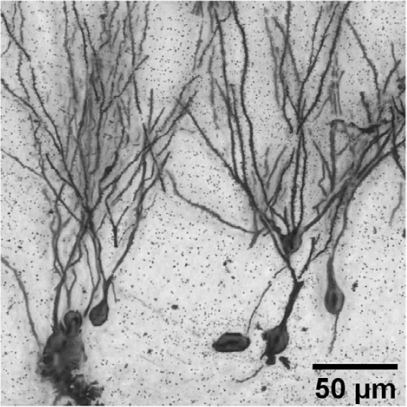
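Golgi-impregnated neurons, with their cell bodies and dendrites stained solid black against a pale background. The somata are dark and ovoid to teardrop-shaped and sit near the lower edge of the field. Some cell bodies overlap with neighbouring ones or with dark tangles of processes at the lower left. The neuropil between the impregnated cells is unstained apart from scattered fine black specks.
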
